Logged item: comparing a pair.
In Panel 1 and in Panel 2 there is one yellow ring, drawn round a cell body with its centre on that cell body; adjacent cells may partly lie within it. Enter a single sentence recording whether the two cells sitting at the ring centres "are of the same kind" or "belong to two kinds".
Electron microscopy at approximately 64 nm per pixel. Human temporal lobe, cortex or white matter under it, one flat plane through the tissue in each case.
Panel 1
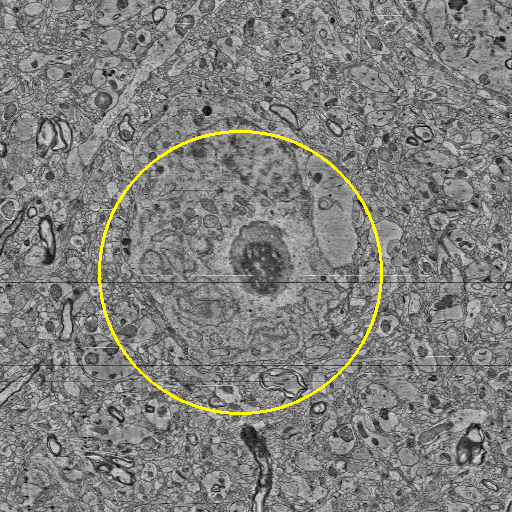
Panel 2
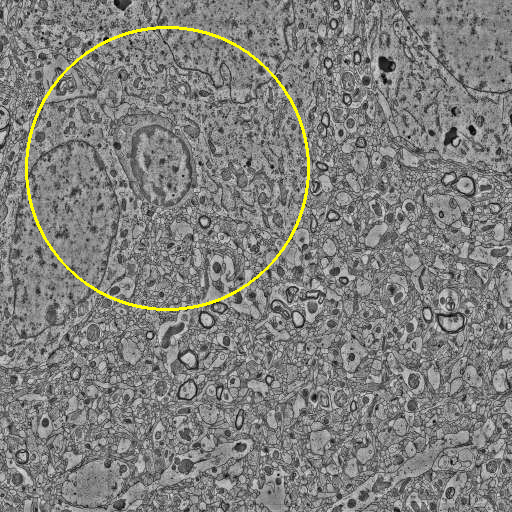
Logged: the cells centred in the rings of Panel 1 and Panel 2 are of the same kind.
